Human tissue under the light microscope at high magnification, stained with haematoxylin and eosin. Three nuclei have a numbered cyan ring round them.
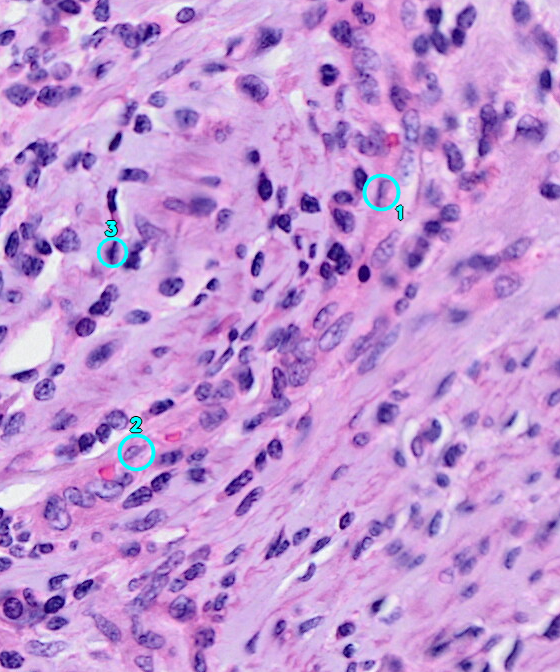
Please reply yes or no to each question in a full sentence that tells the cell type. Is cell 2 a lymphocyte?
No, the cell under number 2 is an endothelial cell, not a lymphocyte.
